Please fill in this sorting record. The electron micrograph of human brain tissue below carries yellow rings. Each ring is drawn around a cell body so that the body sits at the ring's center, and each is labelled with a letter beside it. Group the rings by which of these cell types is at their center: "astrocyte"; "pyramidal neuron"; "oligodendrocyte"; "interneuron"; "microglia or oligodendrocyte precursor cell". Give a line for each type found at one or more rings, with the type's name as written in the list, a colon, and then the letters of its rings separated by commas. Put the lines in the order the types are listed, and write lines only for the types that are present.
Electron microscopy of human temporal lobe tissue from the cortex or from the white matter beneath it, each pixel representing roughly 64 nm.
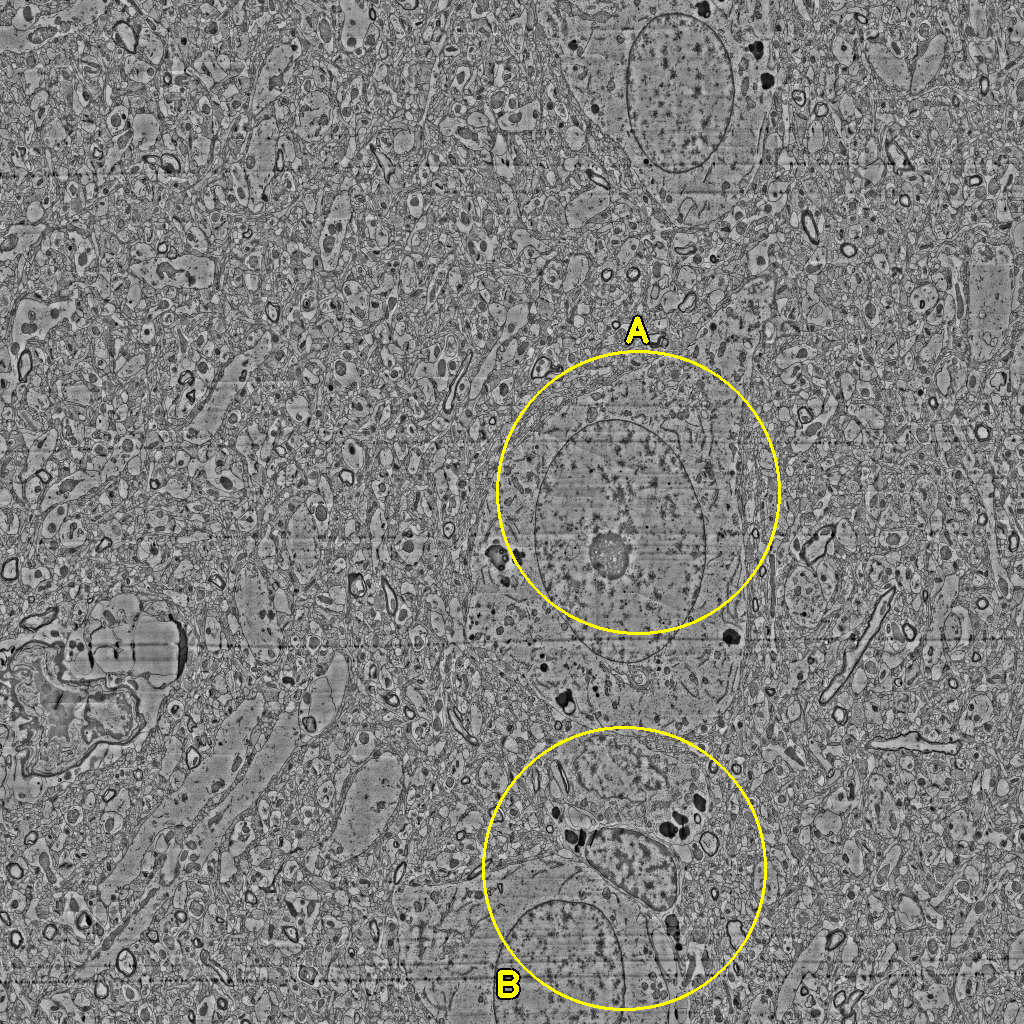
pyramidal neuron: A
microglia or oligodendrocyte precursor cell: B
